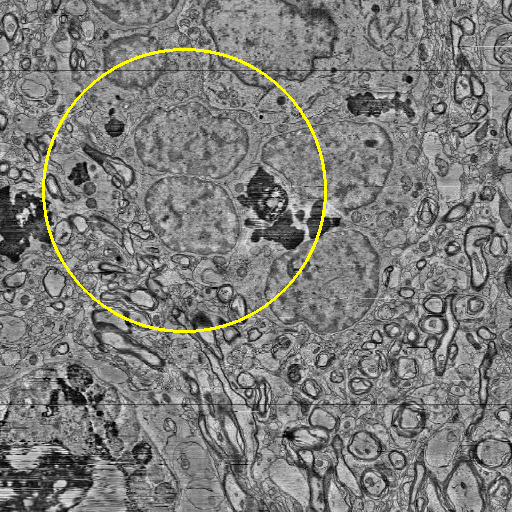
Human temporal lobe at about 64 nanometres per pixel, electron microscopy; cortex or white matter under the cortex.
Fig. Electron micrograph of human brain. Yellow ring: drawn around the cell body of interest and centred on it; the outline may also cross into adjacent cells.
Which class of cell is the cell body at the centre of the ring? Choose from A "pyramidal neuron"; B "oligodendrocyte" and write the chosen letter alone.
B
